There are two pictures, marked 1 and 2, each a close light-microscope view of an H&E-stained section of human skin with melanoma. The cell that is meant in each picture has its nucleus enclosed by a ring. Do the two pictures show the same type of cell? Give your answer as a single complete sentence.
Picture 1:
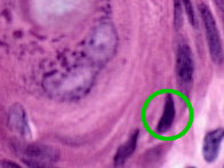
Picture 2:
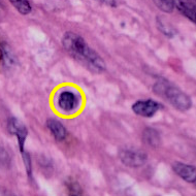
No; the cell in picture 1 is a keratinocyte, while the one in picture 2 is a lymphocyte.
